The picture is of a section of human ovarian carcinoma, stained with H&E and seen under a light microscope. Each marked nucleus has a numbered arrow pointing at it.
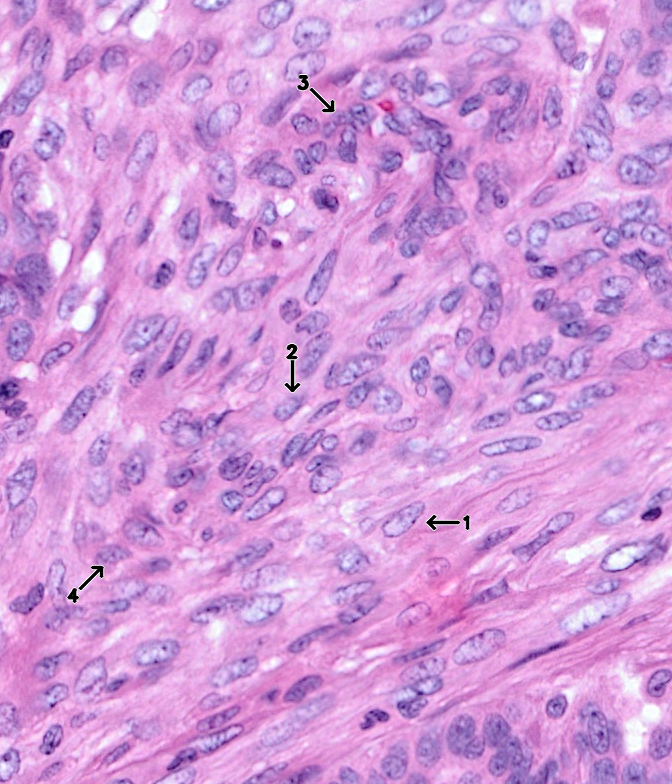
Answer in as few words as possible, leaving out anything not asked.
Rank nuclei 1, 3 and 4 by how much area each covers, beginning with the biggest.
1, 4, 3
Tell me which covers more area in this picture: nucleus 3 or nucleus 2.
2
